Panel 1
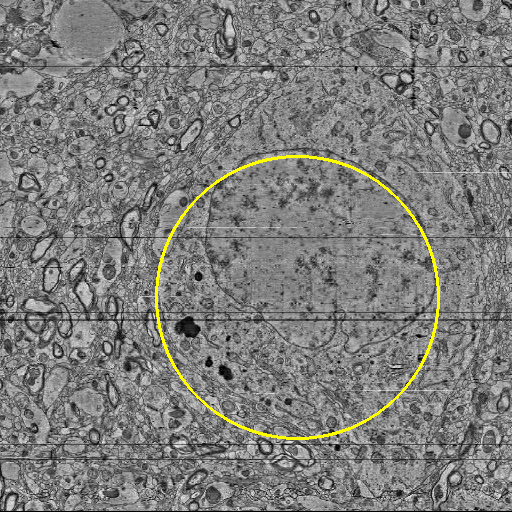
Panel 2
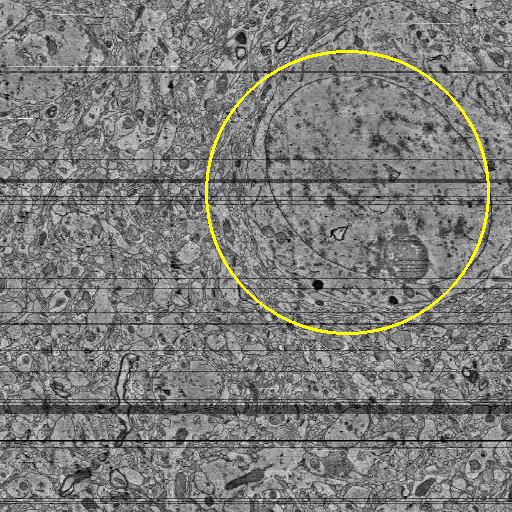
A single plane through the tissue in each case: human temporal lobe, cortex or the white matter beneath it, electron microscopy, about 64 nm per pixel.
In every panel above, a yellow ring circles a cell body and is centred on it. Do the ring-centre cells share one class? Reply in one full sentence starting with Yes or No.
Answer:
Yes, the two cells at the ring centres in the panels belong to one class.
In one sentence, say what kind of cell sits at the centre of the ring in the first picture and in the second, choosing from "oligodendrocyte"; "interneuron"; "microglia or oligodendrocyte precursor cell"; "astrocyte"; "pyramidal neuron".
The second cell is a pyramidal neuron, just as the first is.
